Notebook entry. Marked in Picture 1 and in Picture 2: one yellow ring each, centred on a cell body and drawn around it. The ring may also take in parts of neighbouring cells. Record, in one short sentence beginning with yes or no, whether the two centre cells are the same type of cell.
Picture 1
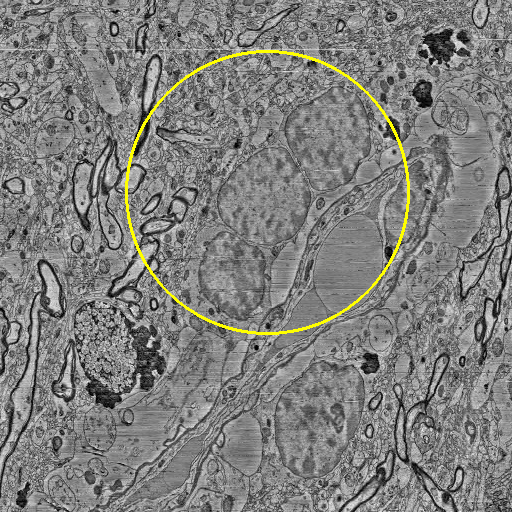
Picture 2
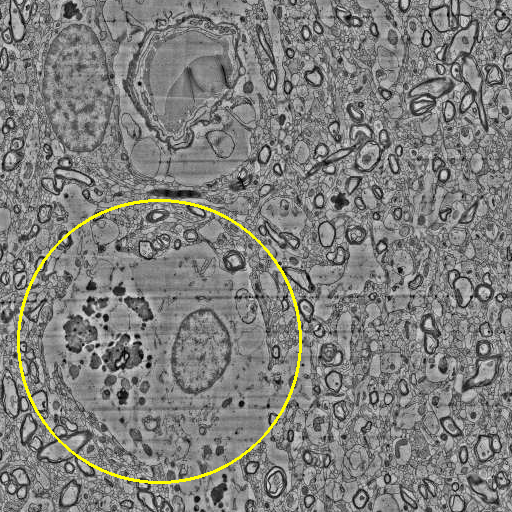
No, they are two types of cell.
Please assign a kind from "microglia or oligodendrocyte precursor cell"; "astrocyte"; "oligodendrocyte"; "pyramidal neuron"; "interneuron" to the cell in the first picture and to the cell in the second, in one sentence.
In the first picture we have an oligodendrocyte, and in the second, an astrocyte.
